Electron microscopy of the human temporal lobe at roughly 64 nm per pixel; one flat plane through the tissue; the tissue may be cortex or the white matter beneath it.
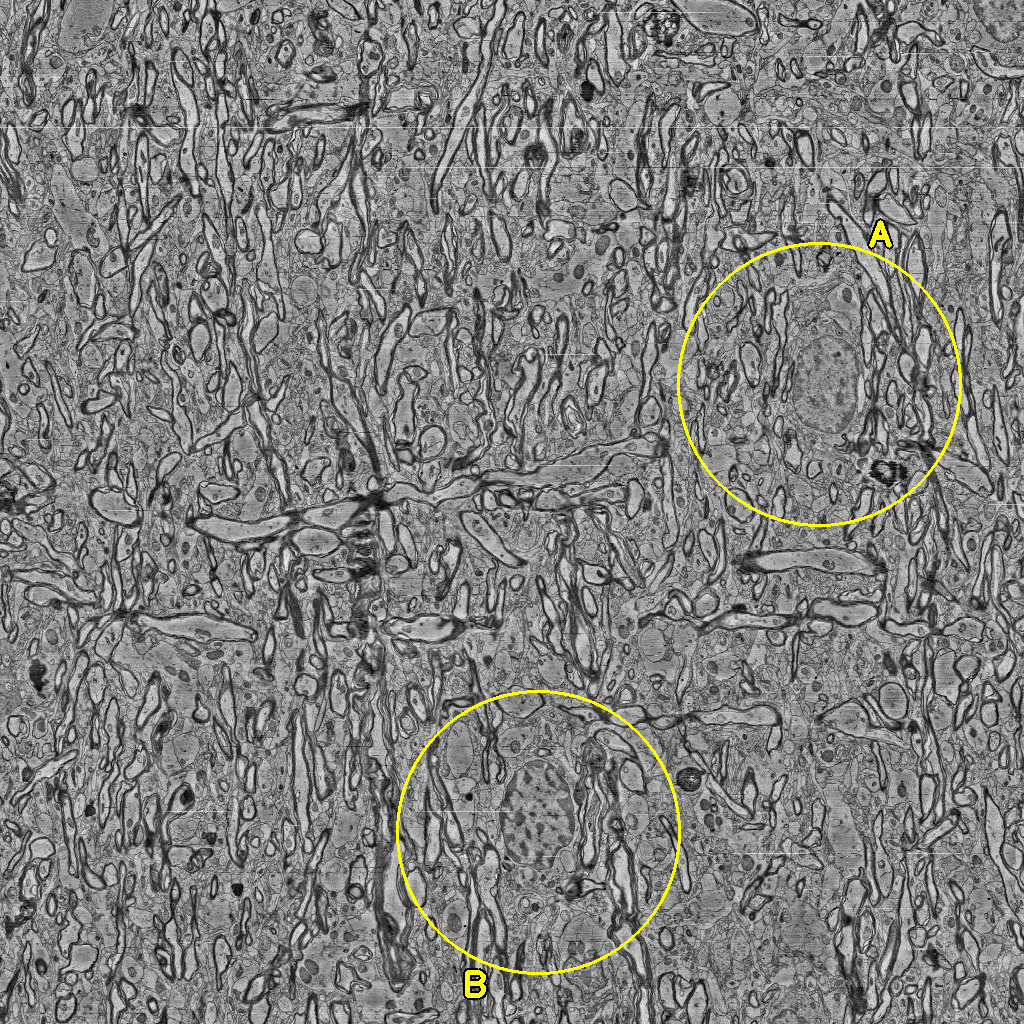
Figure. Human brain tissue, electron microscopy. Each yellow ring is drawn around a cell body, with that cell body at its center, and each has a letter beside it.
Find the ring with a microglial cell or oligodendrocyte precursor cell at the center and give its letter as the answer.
B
